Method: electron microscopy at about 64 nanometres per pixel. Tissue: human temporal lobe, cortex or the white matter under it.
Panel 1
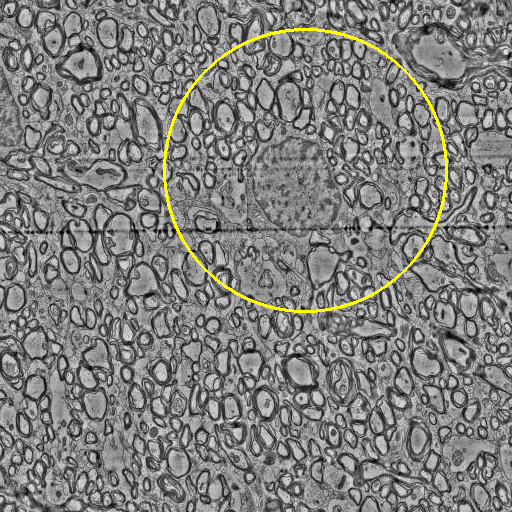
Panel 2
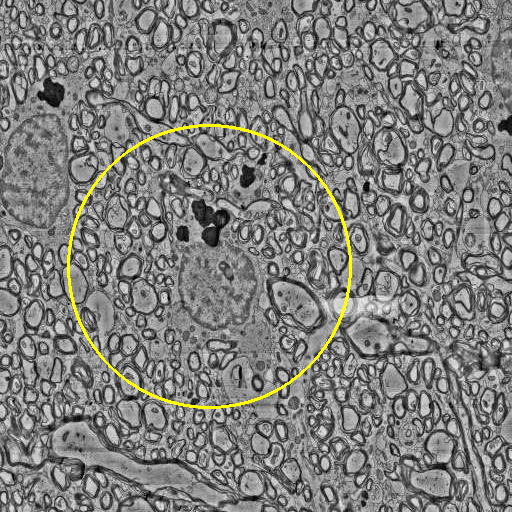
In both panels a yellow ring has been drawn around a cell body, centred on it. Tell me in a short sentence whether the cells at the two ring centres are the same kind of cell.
Yes, they are the same kind of cell.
